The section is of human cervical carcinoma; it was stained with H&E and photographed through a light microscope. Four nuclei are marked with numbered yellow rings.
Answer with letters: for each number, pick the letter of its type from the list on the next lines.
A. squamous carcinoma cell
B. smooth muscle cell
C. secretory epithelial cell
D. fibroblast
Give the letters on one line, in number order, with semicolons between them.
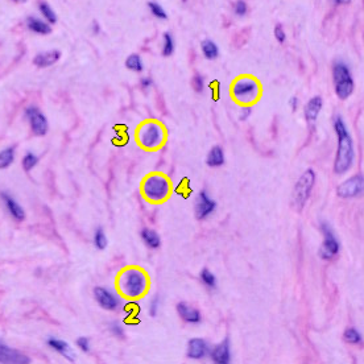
D; B; B; B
